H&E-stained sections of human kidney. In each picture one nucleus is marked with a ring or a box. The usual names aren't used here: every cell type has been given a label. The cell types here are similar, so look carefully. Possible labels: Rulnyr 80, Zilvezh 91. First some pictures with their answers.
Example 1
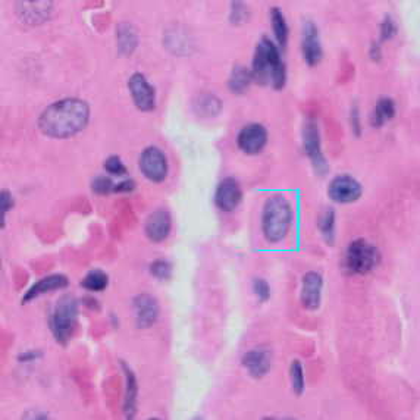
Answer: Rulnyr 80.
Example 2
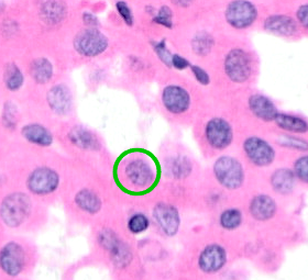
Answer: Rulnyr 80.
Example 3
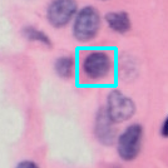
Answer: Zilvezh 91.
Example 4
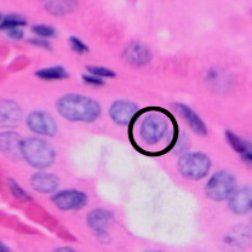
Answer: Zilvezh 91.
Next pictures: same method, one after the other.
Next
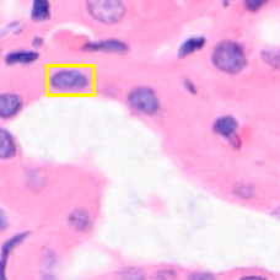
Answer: Rulnyr 80.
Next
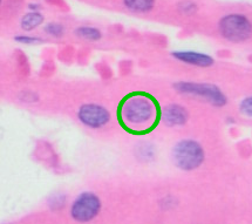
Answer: Rulnyr 80.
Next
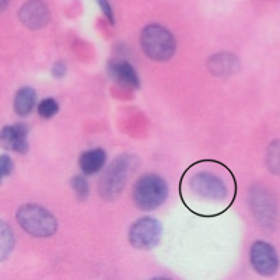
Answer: Zilvezh 91.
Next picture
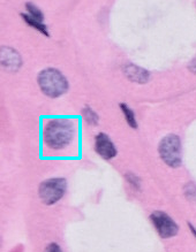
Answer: Rulnyr 80.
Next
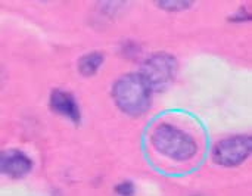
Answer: Rulnyr 80.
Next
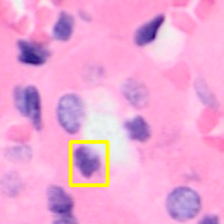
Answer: Rulnyr 80.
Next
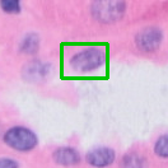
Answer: Rulnyr 80.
